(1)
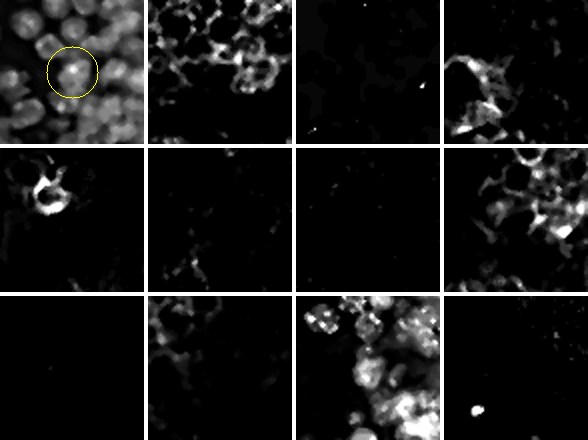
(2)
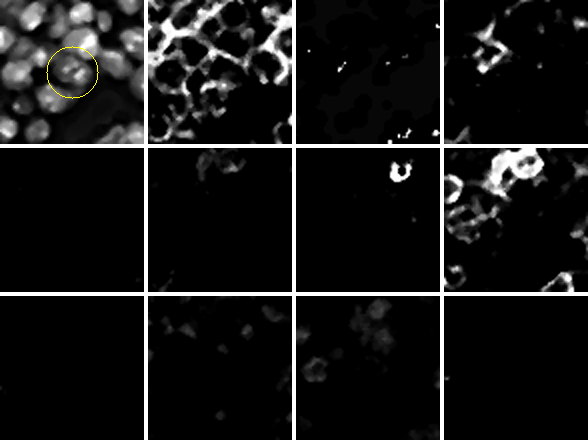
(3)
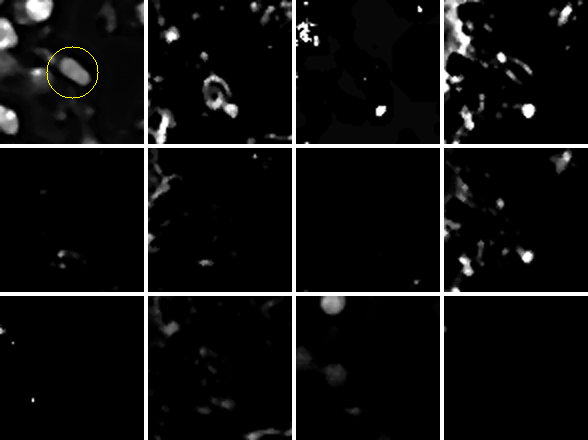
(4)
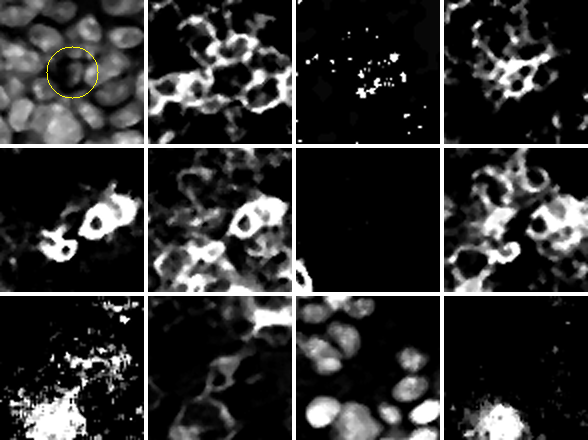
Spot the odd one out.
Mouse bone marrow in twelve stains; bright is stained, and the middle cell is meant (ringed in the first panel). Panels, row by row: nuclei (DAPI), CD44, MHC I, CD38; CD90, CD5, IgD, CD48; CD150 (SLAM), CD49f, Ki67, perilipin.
Picture 2 (a neutrophil among capillary endothelial cells).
